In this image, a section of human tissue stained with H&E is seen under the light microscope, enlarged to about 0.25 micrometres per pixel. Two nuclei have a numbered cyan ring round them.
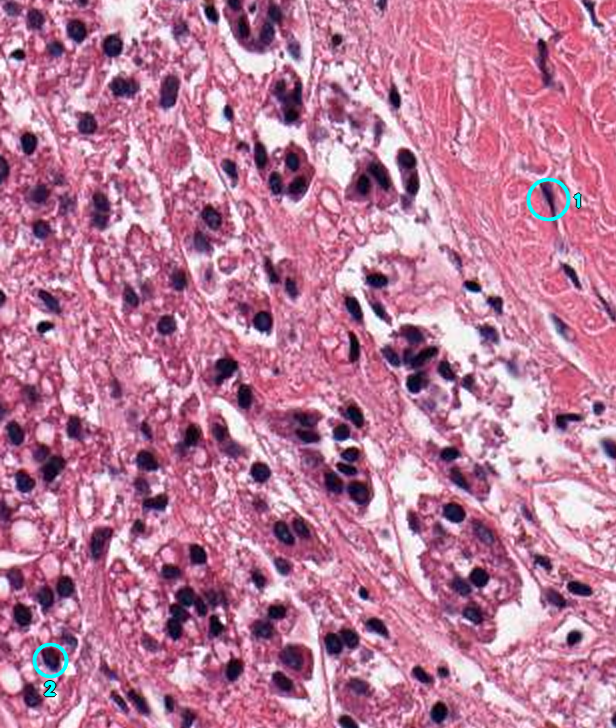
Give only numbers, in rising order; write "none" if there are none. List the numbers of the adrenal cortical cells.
2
